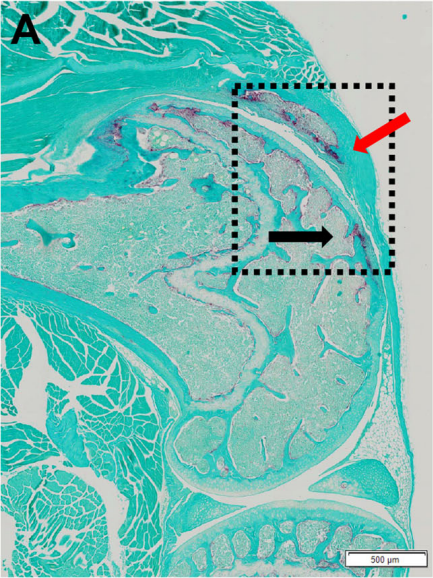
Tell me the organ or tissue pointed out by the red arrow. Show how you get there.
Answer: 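The red arrow points at a separate elongated bone lying over the front of the joint. A curved joint space separates this bone from the larger rounded bone below.
Hence: patella.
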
